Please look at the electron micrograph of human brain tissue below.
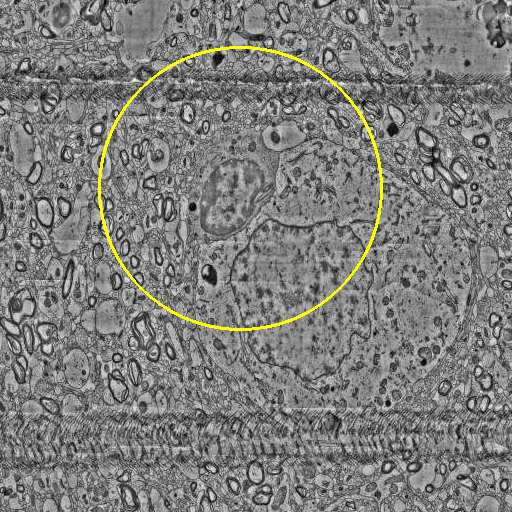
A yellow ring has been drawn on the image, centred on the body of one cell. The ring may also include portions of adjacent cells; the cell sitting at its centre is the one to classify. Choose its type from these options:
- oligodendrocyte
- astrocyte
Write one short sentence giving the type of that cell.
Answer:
The cell in the middle of the ring is an oligodendrocyte.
